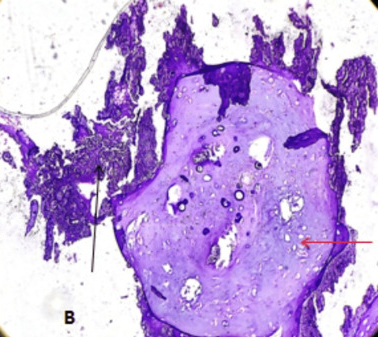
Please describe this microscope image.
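A large, smooth, pale lilac island of matrix fills most of the field, with small rounded spaces scattered through it, some holding single cells. Darker purple, irregular fragments of tissue border it at the left and top.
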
